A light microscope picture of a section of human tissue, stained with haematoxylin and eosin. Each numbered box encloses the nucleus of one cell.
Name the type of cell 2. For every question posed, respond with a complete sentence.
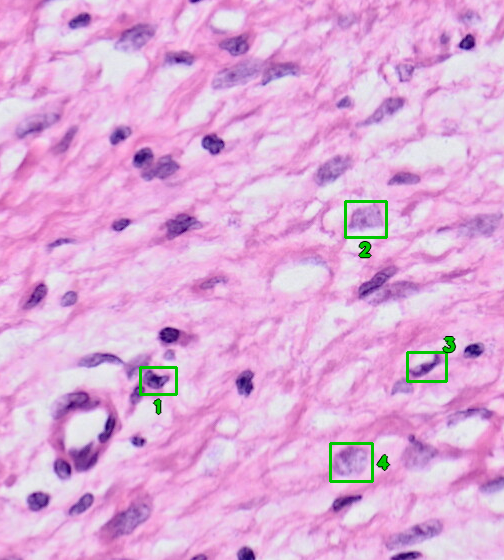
Identified as a fibroblast or myofibroblast is the cell bearing the number 2.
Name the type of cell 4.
Nucleus 4 in this section belongs to a fibroblast or myofibroblast.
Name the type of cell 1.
Of the numbered cells, the one labelled 1 is a lymphocyte.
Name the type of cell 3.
Number 3 among the marked cells is a fibroblast or myofibroblast.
